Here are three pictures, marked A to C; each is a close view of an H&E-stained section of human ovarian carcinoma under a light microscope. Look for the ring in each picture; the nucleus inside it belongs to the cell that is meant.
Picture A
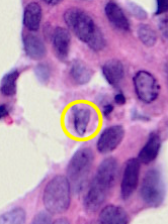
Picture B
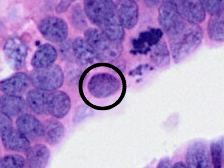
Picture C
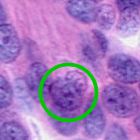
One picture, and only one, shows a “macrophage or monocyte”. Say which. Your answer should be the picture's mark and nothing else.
A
